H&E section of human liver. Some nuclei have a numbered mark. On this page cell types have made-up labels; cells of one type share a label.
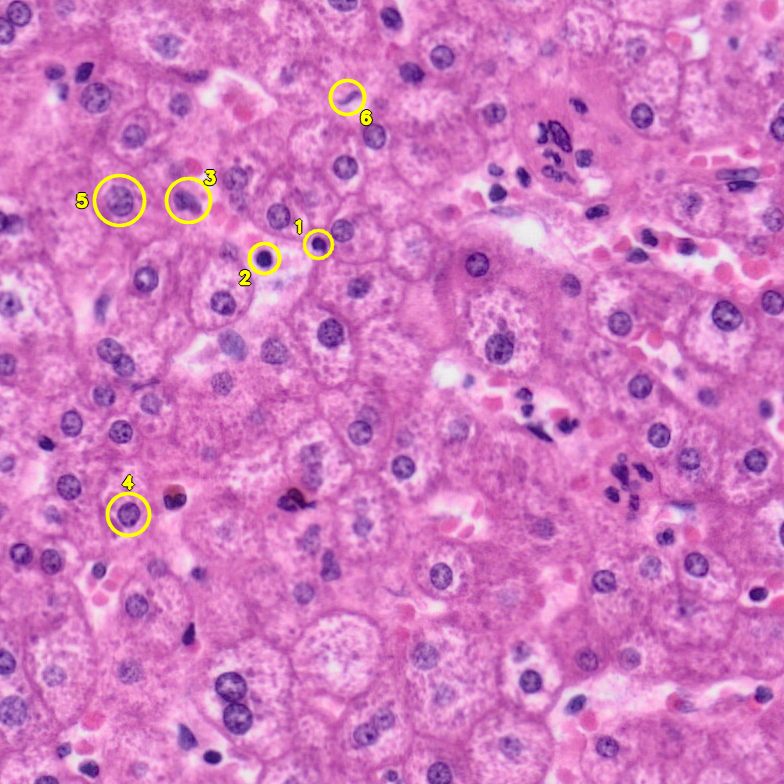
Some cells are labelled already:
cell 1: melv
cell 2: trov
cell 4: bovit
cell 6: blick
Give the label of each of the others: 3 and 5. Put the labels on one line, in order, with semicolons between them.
blick; bovit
